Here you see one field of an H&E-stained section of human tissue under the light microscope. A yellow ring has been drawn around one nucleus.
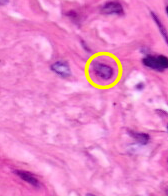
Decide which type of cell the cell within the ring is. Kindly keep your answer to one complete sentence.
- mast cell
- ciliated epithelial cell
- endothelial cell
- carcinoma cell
The correct response here is that the cell within the ring is a mast cell.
